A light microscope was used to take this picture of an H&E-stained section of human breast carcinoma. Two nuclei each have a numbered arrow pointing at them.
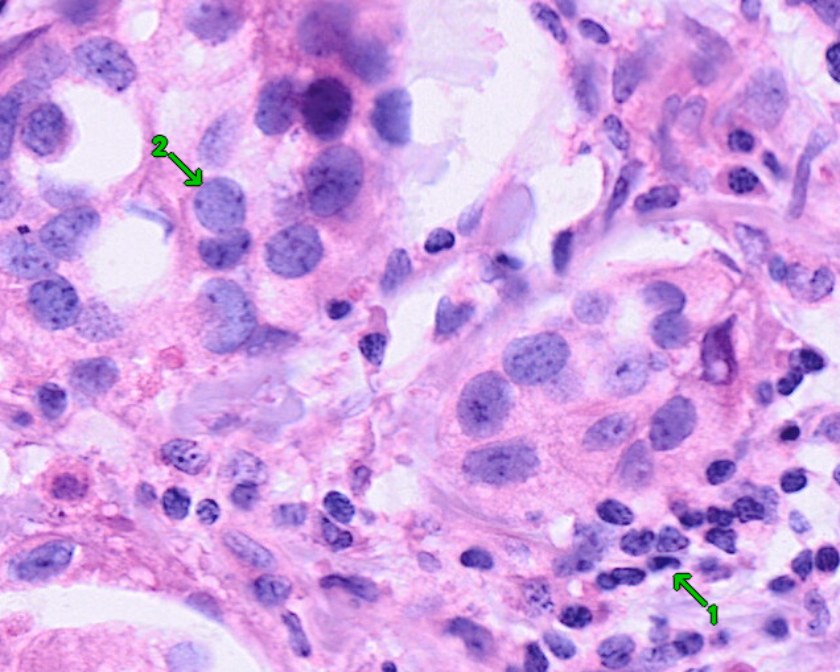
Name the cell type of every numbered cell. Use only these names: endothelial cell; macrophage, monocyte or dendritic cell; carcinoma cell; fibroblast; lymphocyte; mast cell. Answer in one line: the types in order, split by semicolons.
lymphocyte; carcinoma cell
